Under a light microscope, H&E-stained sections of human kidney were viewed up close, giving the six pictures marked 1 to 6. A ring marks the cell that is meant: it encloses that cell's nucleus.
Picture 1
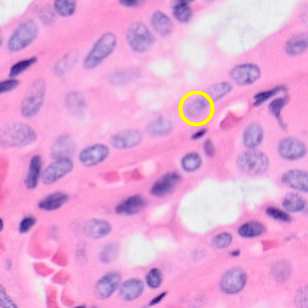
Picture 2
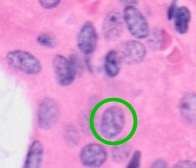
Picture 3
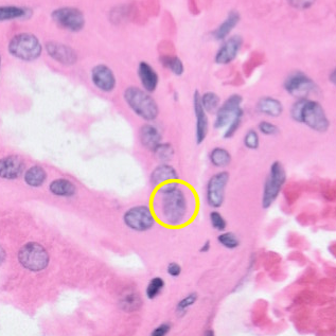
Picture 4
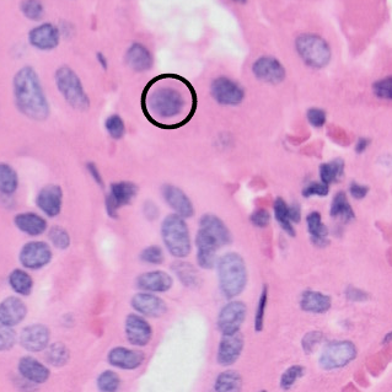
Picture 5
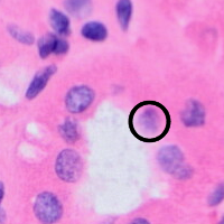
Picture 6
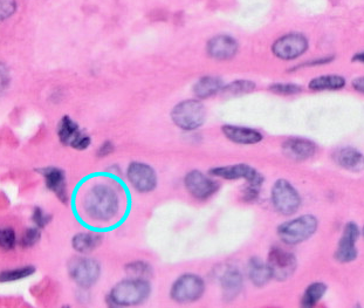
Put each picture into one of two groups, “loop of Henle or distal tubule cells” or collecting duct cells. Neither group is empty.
1: collecting duct cell
2: collecting duct cell
3: collecting duct cell
4: loop of Henle or distal tubule cell
5: loop of Henle or distal tubule cell
6: collecting duct cell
